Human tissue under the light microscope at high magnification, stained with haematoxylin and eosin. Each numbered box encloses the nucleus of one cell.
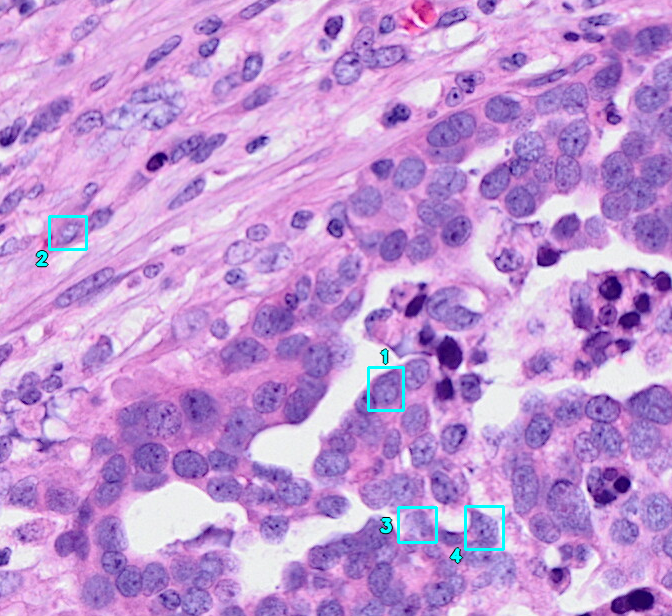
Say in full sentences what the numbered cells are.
Cells 1, 3 and 4 are carcinoma cells. Cell 2 is an endothelial cell.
